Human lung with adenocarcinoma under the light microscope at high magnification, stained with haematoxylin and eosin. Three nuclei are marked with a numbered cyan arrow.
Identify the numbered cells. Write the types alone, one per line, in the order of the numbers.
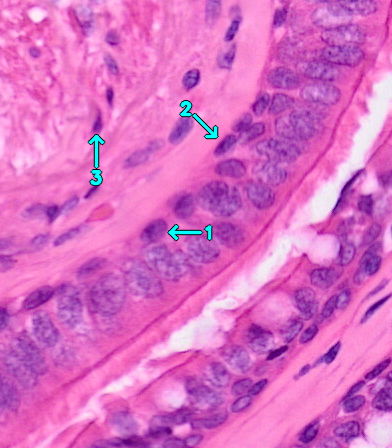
ciliated epithelial cell
ciliated epithelial cell
smooth muscle cell or pericyte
